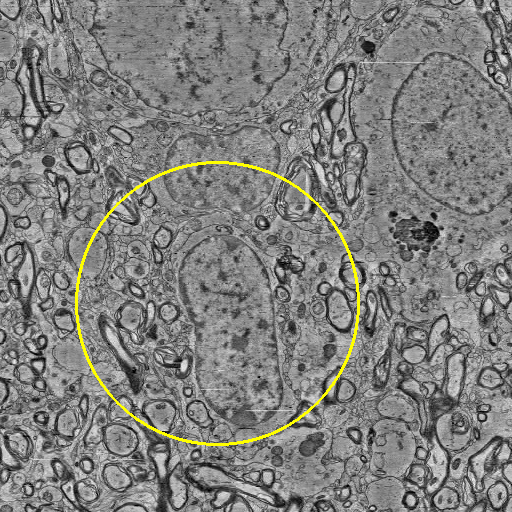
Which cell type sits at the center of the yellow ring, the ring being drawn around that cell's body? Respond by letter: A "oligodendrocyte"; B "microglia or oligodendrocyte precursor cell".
B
